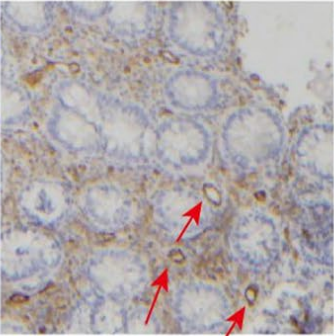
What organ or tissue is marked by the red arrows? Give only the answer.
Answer: Mucosal vascular endothelium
